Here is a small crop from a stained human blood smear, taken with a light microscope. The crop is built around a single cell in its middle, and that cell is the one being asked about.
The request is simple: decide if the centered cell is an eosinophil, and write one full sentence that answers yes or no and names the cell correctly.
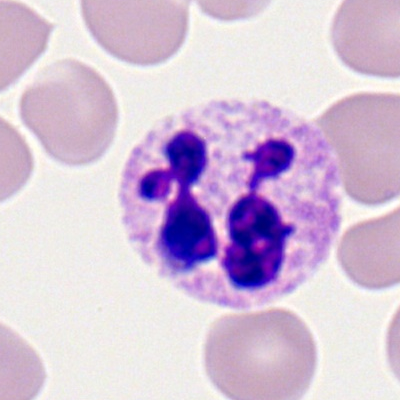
No, what is centred in the crop is not an eosinophil but a neutrophil.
